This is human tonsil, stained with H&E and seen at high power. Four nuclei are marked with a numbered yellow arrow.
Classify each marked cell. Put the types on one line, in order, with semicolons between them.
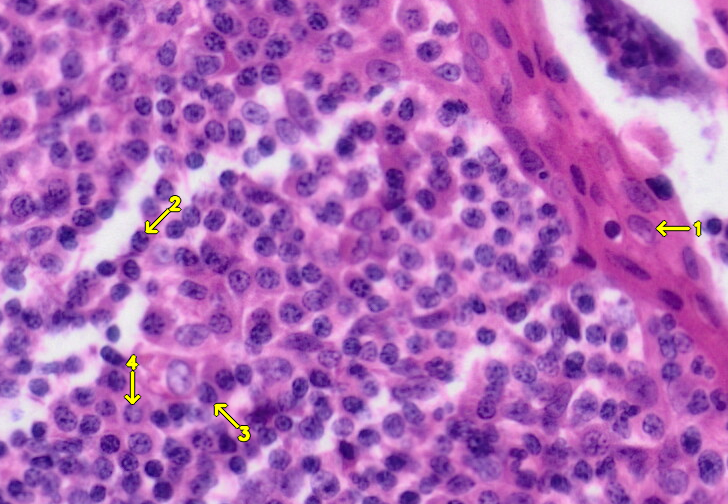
squamous epithelial cell; plasma cell; plasma cell; plasma cell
